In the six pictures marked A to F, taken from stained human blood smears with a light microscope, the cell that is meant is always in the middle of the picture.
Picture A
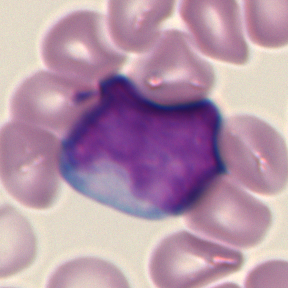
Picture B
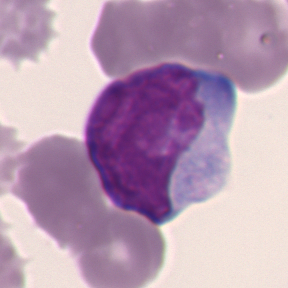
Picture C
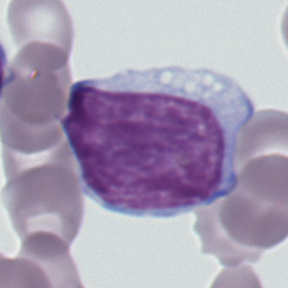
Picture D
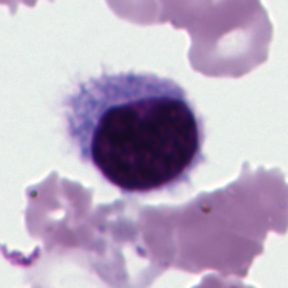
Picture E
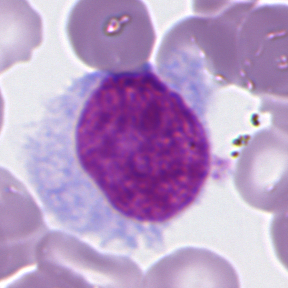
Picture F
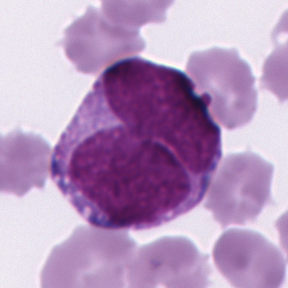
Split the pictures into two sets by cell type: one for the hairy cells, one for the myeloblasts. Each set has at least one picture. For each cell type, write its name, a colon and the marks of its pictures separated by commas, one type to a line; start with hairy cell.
hairy cell: D, E
myeloblast: A, B, C, F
